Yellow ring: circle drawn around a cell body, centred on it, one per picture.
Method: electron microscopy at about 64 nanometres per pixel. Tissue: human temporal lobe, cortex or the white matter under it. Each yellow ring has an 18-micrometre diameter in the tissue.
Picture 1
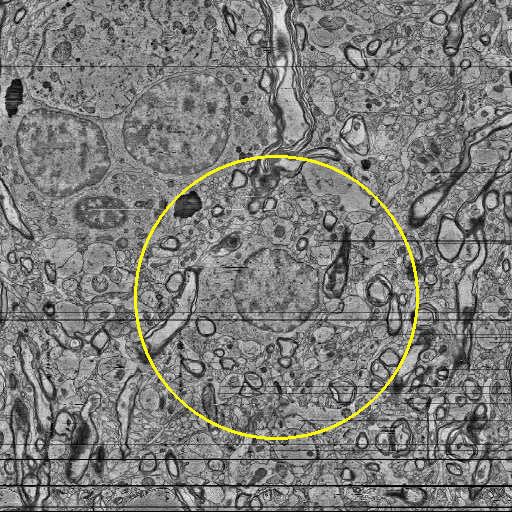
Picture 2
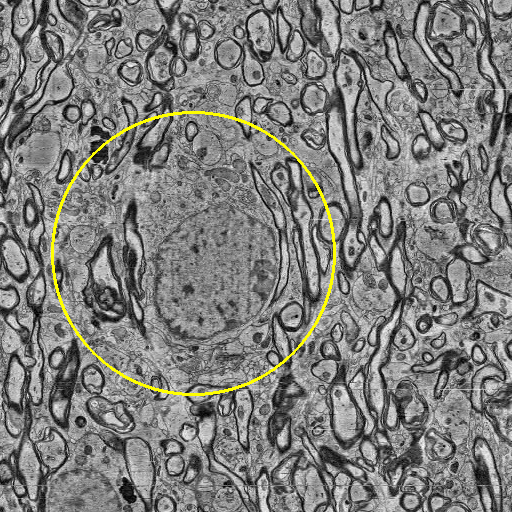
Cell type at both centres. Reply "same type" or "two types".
two types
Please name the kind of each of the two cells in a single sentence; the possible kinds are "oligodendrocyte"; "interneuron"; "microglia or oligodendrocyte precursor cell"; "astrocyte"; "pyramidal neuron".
In the first picture the ring is centred on an oligodendrocyte, and in the second on an astrocyte.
